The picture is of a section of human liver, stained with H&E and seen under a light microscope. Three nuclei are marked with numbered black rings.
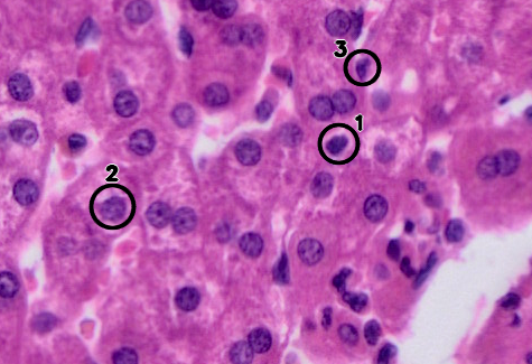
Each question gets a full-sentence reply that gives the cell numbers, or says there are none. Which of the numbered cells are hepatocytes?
The sole numbered cell that is a hepatocyte is cell 2.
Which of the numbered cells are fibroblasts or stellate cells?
Of all the numbered cells, only cell 3 is a fibroblast or stellate cell.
